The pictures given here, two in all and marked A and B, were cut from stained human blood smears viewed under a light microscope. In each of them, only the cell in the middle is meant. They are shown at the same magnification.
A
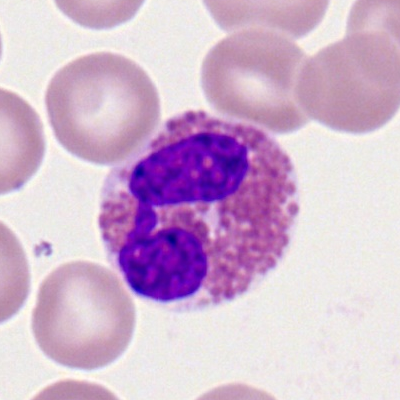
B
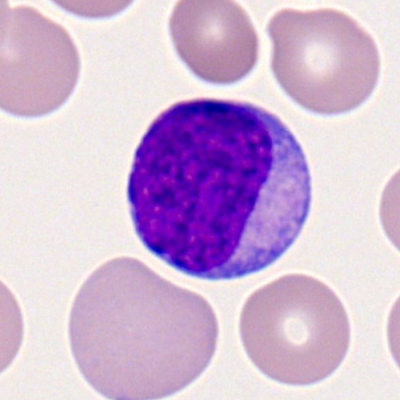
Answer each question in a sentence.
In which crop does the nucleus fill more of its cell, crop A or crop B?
Of the two, the nucleus in crop B makes up the greater part of its cell.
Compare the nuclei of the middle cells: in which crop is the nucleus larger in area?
Crop B shows the larger nucleus; it covers about 1.5 times the area of the nucleus in crop A.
